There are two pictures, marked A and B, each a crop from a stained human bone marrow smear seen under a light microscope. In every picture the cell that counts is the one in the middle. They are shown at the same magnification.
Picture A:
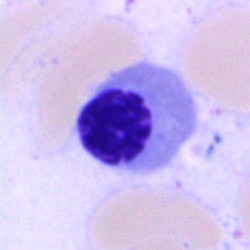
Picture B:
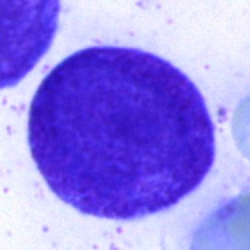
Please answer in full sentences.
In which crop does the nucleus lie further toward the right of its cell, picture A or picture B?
Seen within its cell, the nucleus in picture B lies further toward the right.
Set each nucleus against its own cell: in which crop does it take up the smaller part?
It is the cell in picture A that is filled less by its nucleus.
